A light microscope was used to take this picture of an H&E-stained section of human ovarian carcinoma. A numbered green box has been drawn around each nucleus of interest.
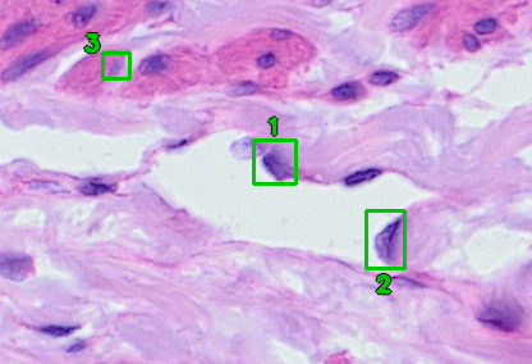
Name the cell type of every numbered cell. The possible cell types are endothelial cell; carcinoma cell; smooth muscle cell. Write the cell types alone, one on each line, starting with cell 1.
endothelial cell
endothelial cell
smooth muscle cell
